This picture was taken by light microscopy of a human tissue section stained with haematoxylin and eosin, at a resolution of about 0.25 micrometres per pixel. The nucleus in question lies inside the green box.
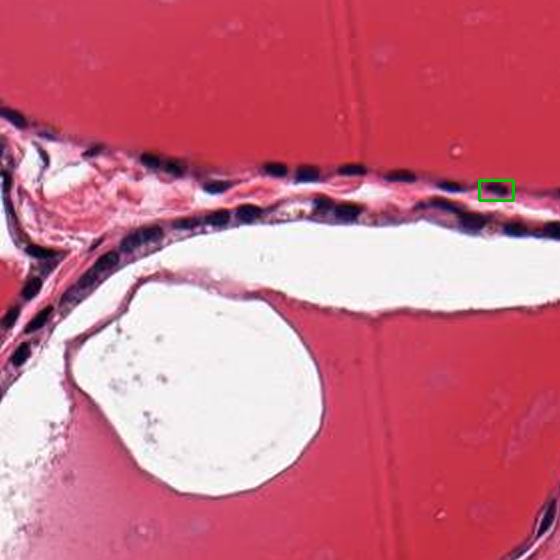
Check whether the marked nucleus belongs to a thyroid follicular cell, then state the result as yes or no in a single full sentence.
Yes, the cell whose nucleus is marked is a thyroid follicular cell.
